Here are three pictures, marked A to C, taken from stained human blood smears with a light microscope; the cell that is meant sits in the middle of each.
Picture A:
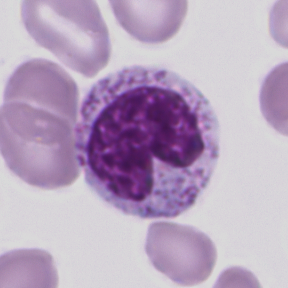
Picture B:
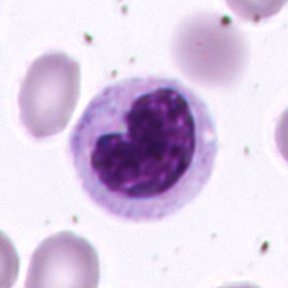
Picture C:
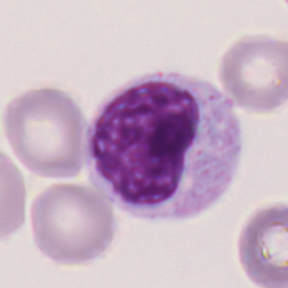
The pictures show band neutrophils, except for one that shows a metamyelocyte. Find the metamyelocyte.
C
